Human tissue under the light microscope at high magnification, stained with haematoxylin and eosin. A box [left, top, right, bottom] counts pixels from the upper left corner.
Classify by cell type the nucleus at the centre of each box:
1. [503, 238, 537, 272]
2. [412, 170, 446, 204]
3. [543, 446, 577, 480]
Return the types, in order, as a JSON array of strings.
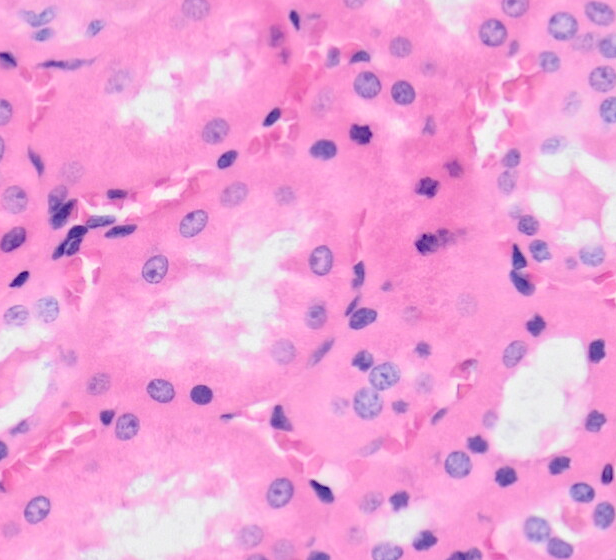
["endothelial cell", "proximal tubule cell", "loop of Henle or distal tubule cell"]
